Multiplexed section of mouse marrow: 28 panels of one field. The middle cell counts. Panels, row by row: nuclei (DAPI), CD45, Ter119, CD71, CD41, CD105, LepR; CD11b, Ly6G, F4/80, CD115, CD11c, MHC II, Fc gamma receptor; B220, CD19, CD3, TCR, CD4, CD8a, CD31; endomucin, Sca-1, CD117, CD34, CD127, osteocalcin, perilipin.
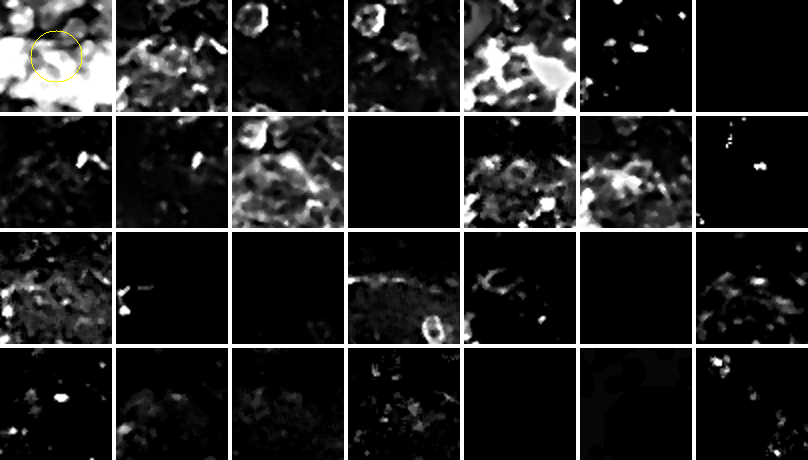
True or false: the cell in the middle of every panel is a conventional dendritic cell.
True.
